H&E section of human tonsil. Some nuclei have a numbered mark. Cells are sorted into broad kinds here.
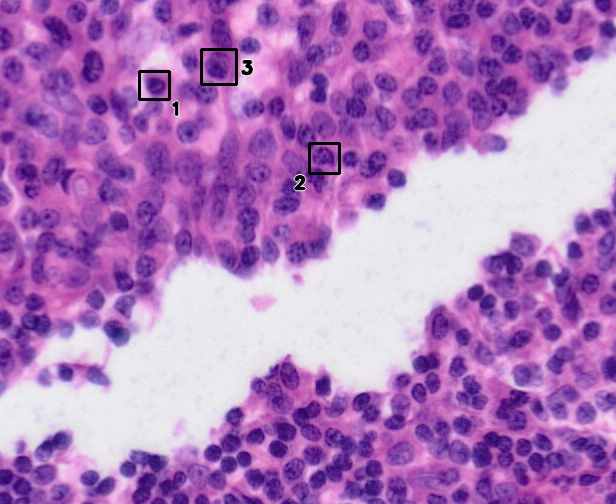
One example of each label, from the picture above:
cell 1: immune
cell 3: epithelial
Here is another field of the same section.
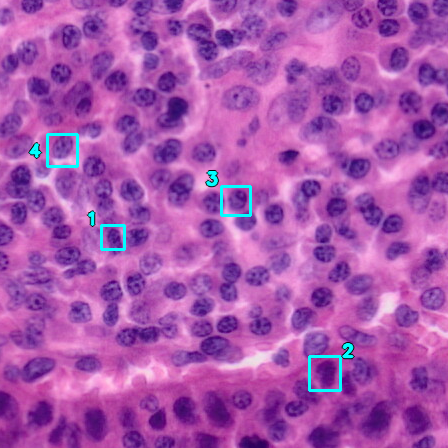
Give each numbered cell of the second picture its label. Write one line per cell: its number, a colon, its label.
1: immune
2: epithelial
3: immune
4: immune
